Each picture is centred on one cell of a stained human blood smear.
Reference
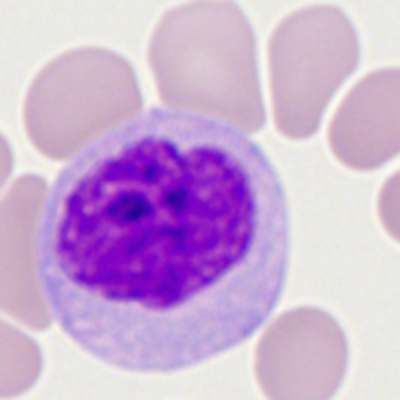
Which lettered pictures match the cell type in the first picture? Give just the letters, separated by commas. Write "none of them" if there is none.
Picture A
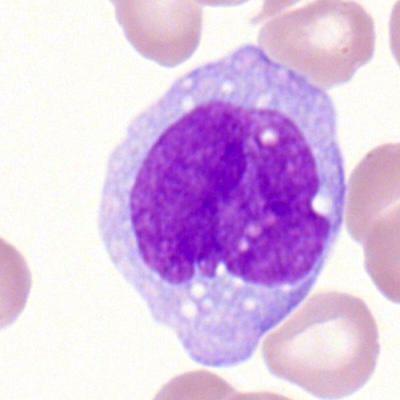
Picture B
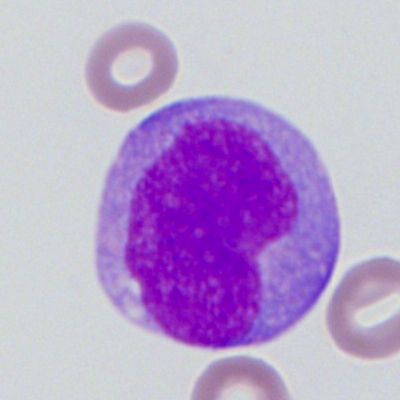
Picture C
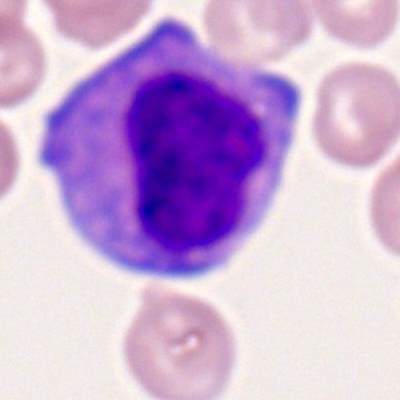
A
